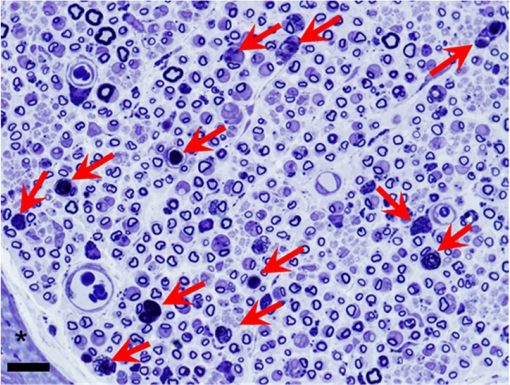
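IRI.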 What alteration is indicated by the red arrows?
Nerve fibers with axonal degeneration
